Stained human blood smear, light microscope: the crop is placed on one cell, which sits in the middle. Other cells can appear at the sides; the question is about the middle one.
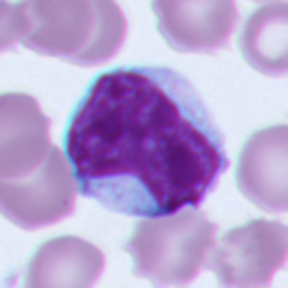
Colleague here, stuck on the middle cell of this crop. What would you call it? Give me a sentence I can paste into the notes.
The centrally positioned cell in the crop represents a typical lymphocyte.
